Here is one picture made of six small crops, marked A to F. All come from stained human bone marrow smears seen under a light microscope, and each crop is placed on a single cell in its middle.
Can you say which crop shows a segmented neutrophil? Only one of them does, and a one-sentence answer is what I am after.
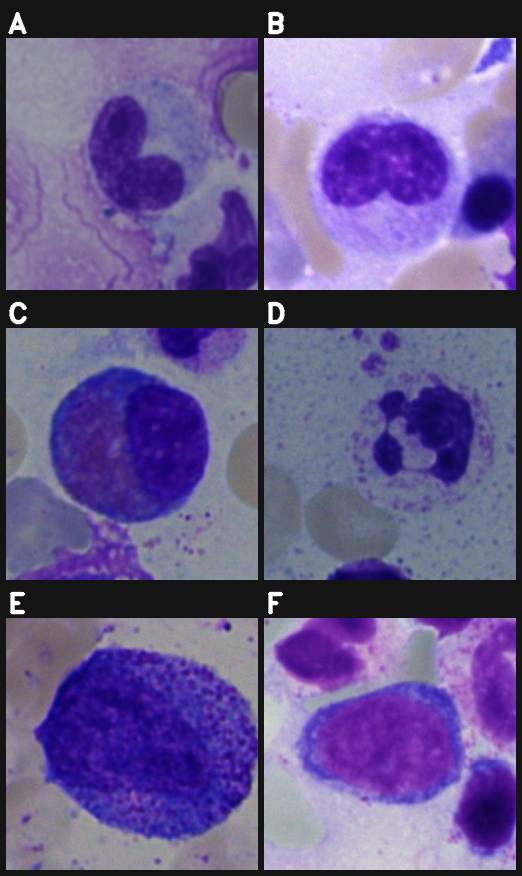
Crop D is the correct crop, and it shows a segmented neutrophil.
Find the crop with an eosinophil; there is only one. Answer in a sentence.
The sole crop showing an eosinophil is crop C.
